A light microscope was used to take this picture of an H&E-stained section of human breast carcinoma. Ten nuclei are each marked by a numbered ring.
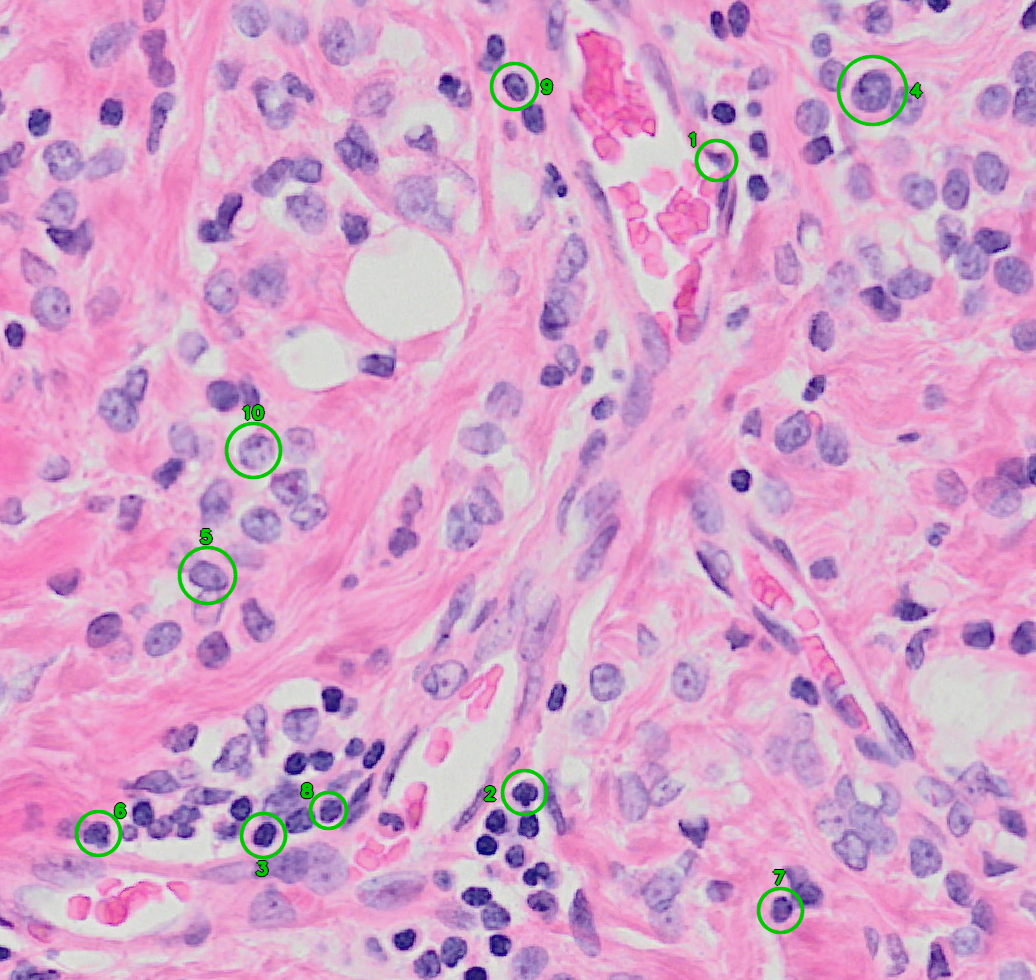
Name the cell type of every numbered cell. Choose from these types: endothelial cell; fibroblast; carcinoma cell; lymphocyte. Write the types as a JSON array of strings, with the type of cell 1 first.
["endothelial cell", "lymphocyte", "lymphocyte", "carcinoma cell", "carcinoma cell", "lymphocyte", "lymphocyte", "lymphocyte", "lymphocyte", "carcinoma cell"]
